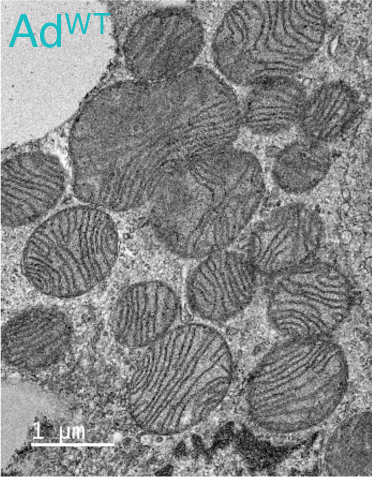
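Electron micrograph of brown adipose tissue in which the cytoplasm is crowded with large, round to oval mitochondria lying tightly side by side. Each mitochondrion is filled with dense, parallel lamellar cristae running across its width. Smooth pale grey areas at the edges of the field are lipid droplets.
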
